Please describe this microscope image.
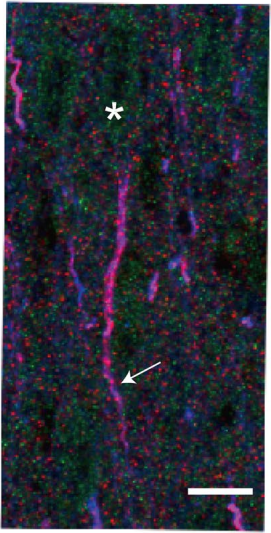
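The segments show red and blue together, appearing magenta along their length, including the lower portion. No green labelling follows the segments. The background carries scattered red and green puncta.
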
